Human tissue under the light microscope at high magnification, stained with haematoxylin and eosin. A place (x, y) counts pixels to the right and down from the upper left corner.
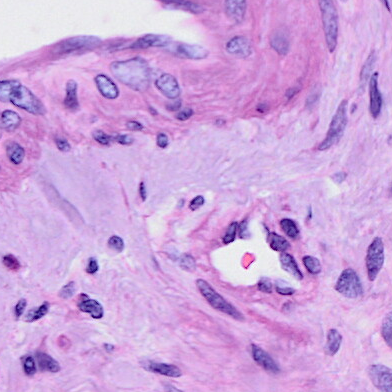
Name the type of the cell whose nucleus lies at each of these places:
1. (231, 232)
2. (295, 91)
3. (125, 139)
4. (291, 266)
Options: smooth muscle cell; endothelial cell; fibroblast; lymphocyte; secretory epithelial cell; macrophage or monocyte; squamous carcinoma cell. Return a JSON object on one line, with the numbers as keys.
{"1": "endothelial cell", "2": "smooth muscle cell", "3": "smooth muscle cell", "4": "endothelial cell"}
